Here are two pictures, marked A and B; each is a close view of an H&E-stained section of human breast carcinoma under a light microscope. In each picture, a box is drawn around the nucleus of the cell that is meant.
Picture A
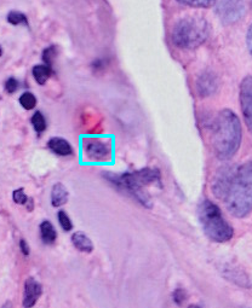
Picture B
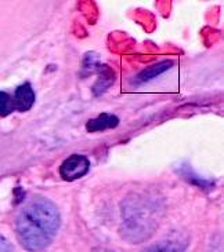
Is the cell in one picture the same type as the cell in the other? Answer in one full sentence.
Yes, they are the same type: both are endothelial cells.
